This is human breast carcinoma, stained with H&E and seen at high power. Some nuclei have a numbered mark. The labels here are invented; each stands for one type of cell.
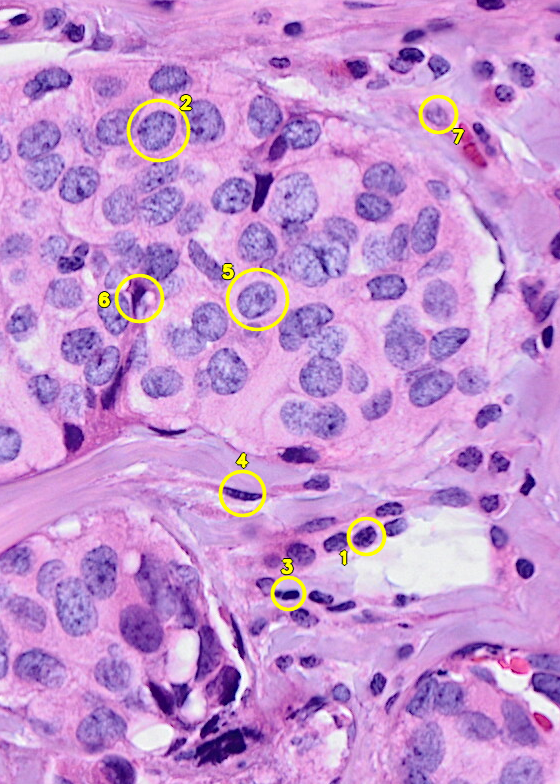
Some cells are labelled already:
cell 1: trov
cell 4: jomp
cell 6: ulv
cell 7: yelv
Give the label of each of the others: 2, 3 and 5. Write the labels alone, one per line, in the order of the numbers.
ulv
trov
ulv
